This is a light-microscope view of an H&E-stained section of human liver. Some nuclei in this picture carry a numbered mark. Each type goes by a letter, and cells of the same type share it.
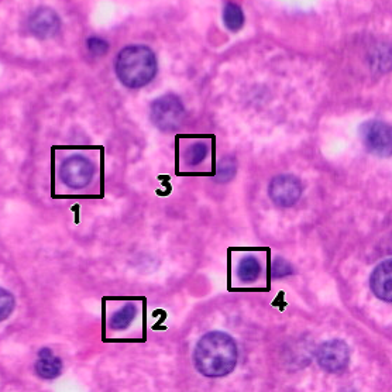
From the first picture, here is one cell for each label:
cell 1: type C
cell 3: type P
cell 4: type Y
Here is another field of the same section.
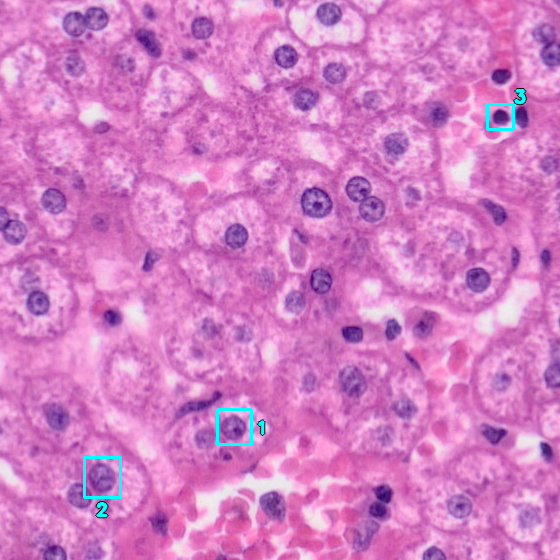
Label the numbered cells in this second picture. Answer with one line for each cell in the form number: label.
1: type C
2: type C
3: type Y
